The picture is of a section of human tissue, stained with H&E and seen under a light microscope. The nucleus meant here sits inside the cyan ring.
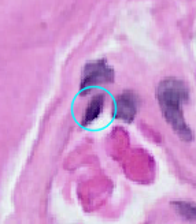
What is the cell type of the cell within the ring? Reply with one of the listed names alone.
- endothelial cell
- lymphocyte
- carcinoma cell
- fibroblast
endothelial cell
